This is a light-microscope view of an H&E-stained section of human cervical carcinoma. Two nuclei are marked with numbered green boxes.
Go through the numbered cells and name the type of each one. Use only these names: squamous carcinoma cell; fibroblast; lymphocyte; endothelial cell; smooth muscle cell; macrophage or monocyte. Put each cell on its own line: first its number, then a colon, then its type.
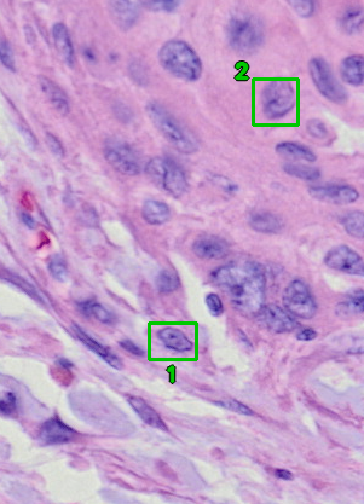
1: macrophage or monocyte
2: squamous carcinoma cell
